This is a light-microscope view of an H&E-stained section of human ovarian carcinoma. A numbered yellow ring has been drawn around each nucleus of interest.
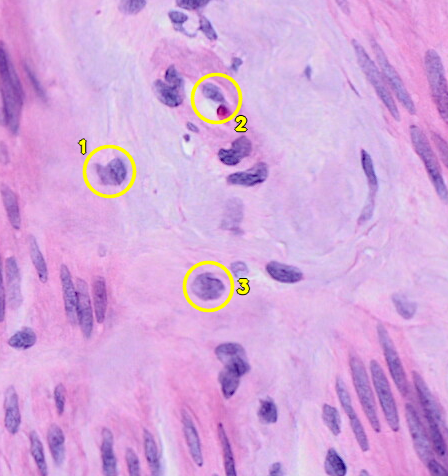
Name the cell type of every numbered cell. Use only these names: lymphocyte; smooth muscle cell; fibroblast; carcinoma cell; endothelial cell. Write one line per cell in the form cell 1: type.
cell 1: fibroblast
cell 2: endothelial cell
cell 3: fibroblast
